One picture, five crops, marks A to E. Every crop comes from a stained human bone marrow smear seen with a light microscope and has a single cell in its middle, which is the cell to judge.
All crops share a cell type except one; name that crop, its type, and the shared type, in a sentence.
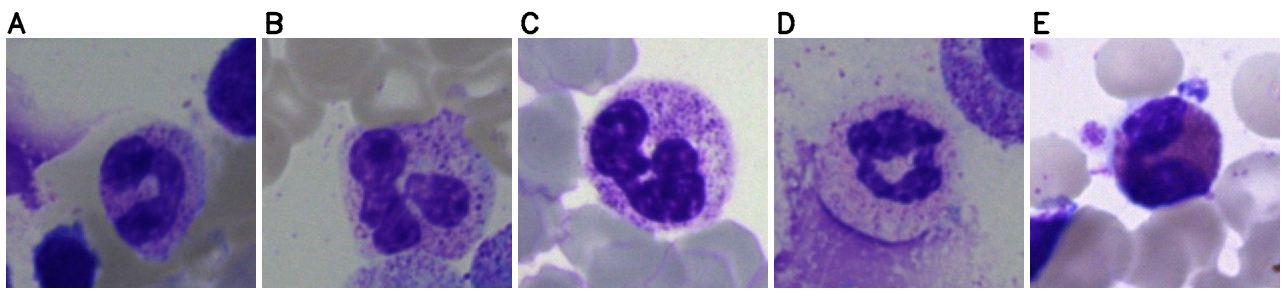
Although the other crops all show segmented neutrophils, crop E shows an eosinophil.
